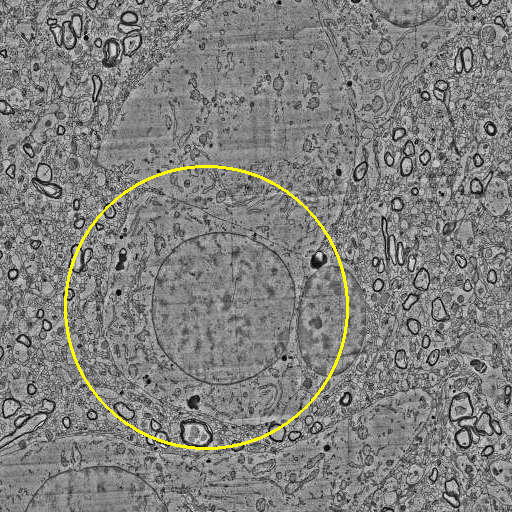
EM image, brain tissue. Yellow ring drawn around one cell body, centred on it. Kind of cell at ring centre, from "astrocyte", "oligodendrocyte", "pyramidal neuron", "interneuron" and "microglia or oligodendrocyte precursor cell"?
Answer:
pyramidal neuron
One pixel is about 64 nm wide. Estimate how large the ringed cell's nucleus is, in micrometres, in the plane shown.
The nucleus is about 10 micrometres across in this plane.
